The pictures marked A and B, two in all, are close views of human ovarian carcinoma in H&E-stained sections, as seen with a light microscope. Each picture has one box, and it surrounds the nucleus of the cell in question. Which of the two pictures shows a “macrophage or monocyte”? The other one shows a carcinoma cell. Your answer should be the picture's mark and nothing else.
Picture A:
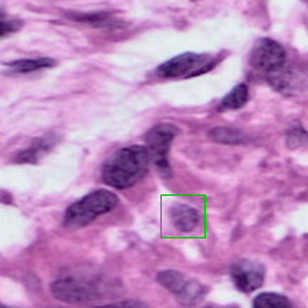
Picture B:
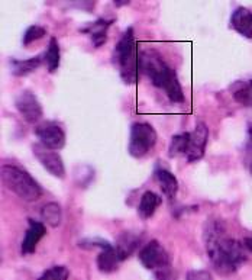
A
